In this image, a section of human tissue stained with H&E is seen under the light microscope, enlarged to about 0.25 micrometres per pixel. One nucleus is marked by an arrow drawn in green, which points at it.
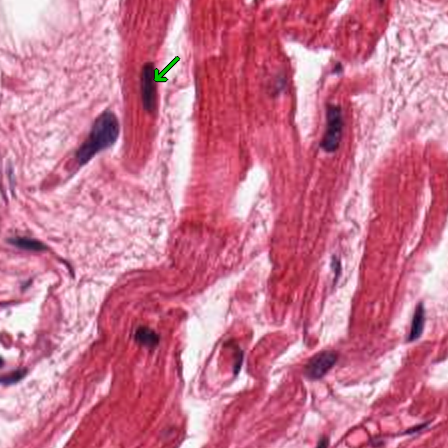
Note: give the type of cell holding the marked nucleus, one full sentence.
The marked nucleus here is the nucleus of a cardiomyocyte.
